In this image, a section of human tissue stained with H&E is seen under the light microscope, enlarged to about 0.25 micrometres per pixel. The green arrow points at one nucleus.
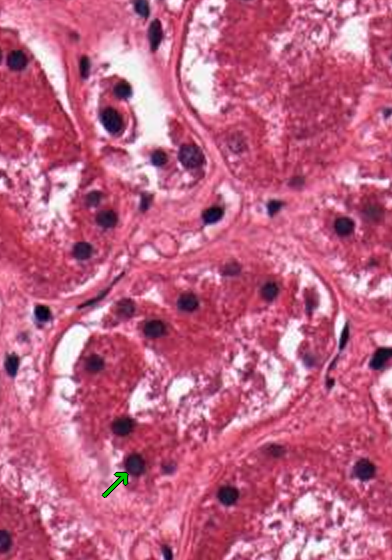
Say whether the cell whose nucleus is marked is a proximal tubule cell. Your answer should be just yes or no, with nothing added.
yes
